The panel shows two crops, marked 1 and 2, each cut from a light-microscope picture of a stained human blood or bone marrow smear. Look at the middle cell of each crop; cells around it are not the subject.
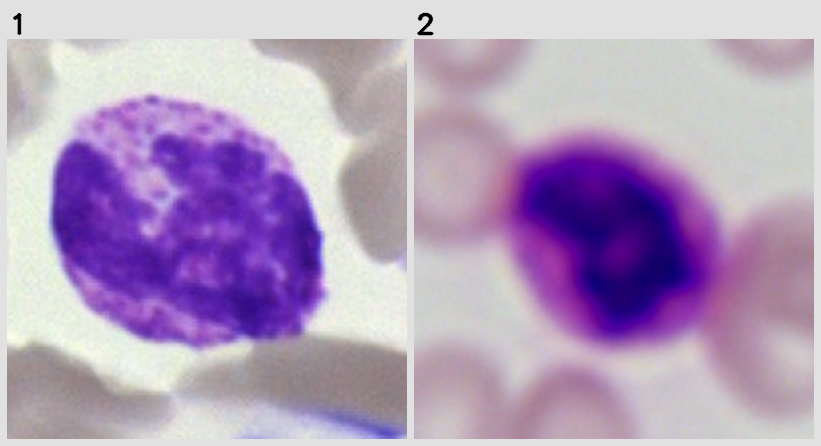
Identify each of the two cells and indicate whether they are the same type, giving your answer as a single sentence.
Yes, basophils are the cells shown in both crops.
